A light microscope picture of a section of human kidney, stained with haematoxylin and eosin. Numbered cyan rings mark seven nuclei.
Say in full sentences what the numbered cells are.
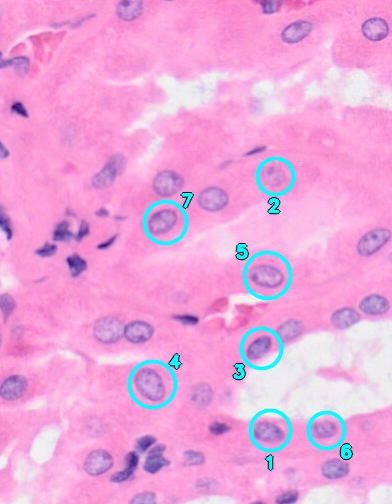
Cells 1, 3 and 6 are loop of Henle or distal tubule cells. Cells 2, 4, 5 and 7 are proximal tubule cells.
